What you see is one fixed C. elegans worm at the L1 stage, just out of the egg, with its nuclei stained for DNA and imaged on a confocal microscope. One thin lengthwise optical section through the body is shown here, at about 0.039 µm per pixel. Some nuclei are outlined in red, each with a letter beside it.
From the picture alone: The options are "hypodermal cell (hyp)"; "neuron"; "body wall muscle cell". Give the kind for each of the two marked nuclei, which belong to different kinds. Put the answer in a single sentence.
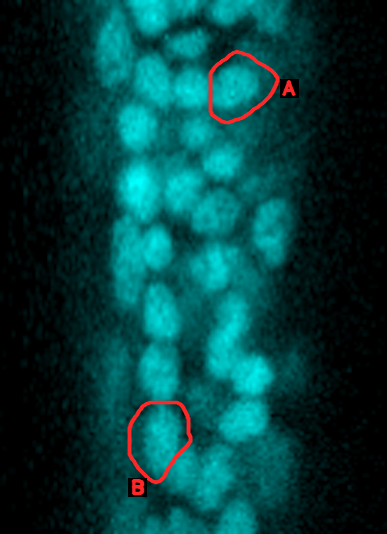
A belongs to a neuron and B to a hypodermal cell (hyp).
